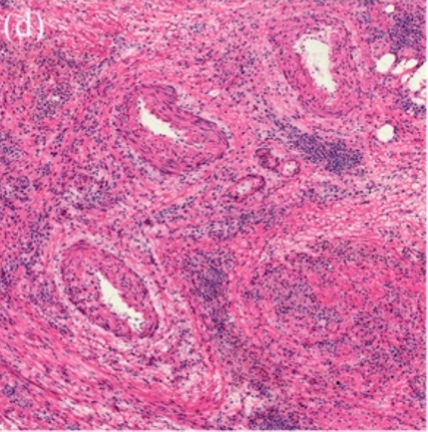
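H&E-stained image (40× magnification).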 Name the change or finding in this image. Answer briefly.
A: Inflammatory cell infiltration.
